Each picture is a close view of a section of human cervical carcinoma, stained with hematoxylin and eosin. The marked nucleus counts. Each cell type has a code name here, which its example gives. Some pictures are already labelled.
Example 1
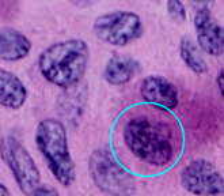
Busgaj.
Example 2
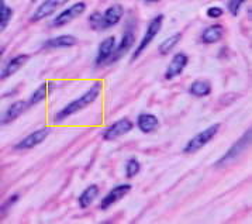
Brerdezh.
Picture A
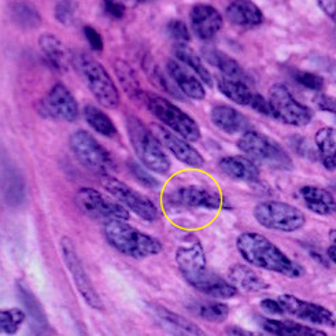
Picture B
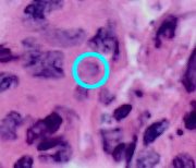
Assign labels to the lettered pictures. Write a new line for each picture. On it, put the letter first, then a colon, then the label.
A: Busgaj.
B: Busgaj.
